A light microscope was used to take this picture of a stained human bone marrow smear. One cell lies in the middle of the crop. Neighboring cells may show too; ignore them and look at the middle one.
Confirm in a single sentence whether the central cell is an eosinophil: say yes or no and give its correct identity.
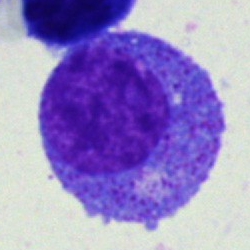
No, the cell in the middle of the field is a promyelocyte, not an eosinophil as suggested.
